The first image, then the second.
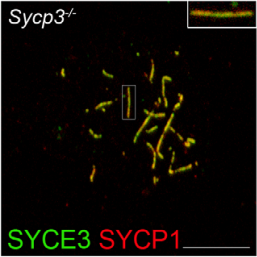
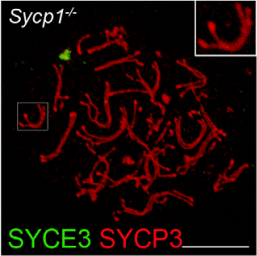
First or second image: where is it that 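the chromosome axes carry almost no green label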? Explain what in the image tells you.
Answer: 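First image: threads appear yellow where green and red coincide. Second image: threads are red only, with green confined to one or two small spots.
Answer: the second image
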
